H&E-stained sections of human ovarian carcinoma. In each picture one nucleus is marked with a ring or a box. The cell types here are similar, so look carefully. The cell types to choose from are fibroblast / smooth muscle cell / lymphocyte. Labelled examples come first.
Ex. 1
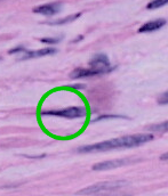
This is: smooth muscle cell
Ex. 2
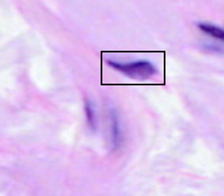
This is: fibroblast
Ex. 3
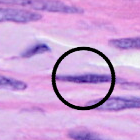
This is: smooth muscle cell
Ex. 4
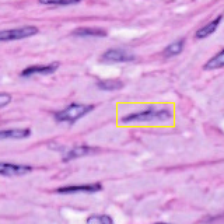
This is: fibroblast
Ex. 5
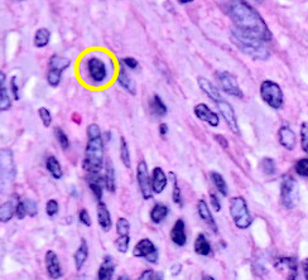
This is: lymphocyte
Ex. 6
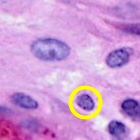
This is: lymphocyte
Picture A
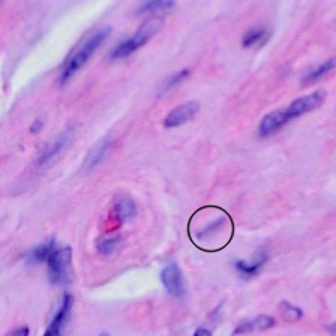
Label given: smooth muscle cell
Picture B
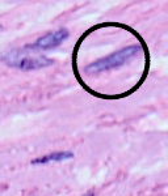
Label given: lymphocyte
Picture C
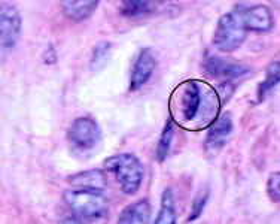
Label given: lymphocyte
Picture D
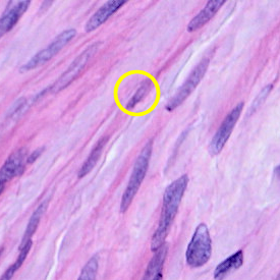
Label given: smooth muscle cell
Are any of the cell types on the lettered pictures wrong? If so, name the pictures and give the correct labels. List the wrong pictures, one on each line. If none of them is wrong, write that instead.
B: change lymphocyte to fibroblast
